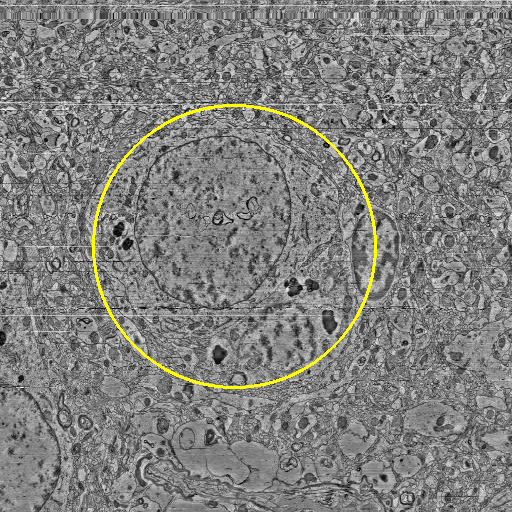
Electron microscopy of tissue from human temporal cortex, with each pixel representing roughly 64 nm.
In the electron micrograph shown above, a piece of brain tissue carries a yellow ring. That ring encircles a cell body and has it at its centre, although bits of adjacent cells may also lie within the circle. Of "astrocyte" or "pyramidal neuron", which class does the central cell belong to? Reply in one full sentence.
The cell body at the centre of the yellow ring belongs to a pyramidal neuron.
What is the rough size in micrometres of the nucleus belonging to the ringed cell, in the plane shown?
In this plane, the nucleus of the cell at the centre of the ring measures about 12 by 10 micrometres.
